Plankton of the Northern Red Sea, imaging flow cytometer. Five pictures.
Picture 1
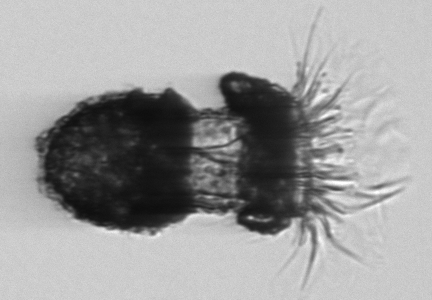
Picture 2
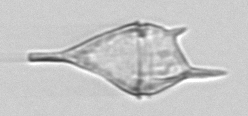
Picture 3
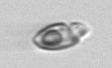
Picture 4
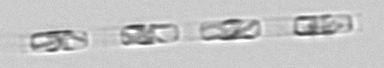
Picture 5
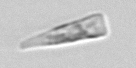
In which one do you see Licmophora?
In picture 5.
